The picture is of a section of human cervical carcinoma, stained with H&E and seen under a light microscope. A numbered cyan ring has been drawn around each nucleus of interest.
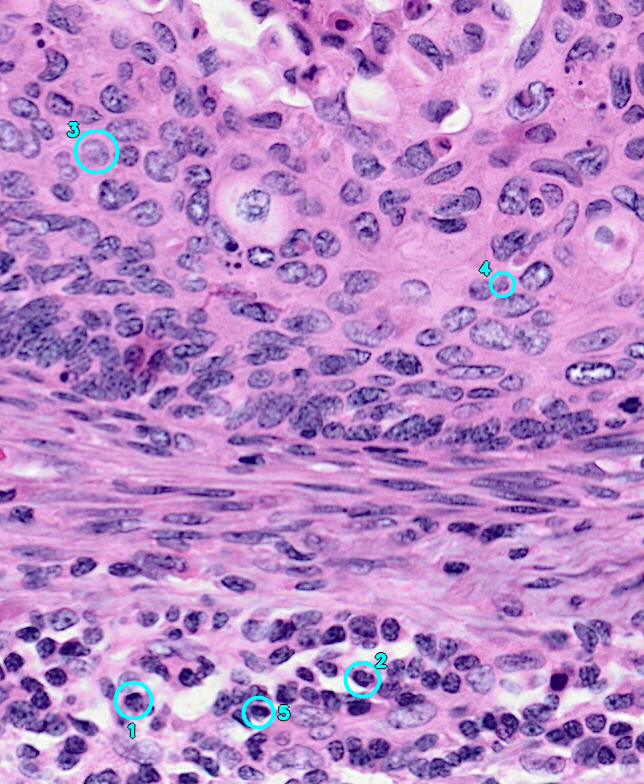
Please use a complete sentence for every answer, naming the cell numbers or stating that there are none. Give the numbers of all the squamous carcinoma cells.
Marked by the numbers 3 and 4 are cells that are squamous carcinoma cells.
